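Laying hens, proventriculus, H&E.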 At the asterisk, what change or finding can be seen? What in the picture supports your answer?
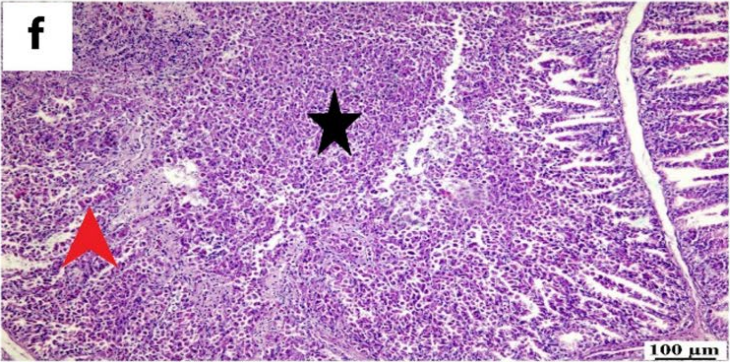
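The asterisk lies in a large sheet of densely packed purple cells without glandular structure. Intact tubular glands remain at the right edge.
Conclusion: necrotic debris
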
